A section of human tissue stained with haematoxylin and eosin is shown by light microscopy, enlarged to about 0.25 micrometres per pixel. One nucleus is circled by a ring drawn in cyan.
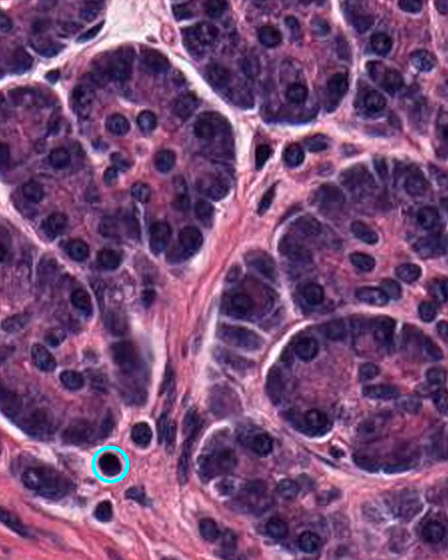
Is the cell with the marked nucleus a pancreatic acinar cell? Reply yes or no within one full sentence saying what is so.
No, the cell that carries the marked nucleus is a supporting cell, not a pancreatic acinar cell.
